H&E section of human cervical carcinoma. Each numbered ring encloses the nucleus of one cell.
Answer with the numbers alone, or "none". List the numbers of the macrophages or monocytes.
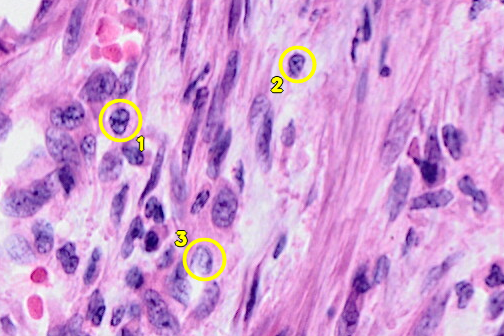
none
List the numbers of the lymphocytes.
1, 2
